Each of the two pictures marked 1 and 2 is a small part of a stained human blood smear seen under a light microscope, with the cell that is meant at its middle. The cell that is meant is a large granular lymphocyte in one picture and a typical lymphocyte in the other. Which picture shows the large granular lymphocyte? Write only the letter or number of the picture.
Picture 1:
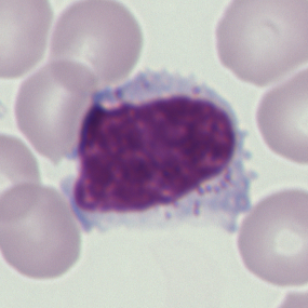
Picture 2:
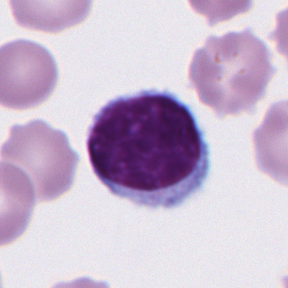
1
